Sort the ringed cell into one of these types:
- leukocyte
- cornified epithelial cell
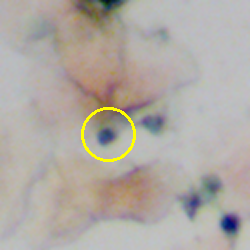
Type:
leukocyte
